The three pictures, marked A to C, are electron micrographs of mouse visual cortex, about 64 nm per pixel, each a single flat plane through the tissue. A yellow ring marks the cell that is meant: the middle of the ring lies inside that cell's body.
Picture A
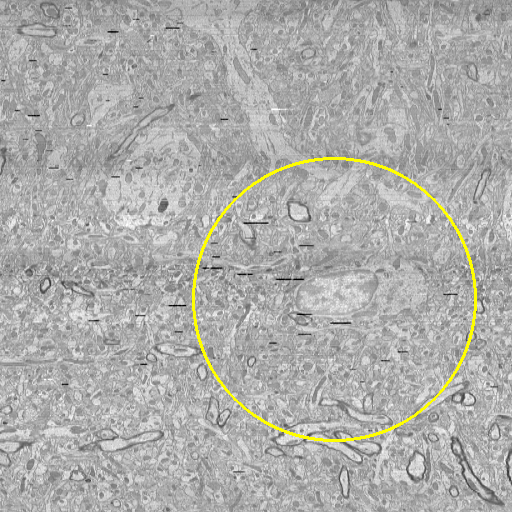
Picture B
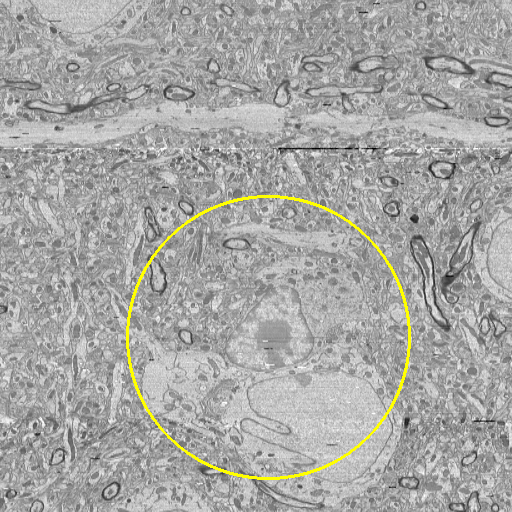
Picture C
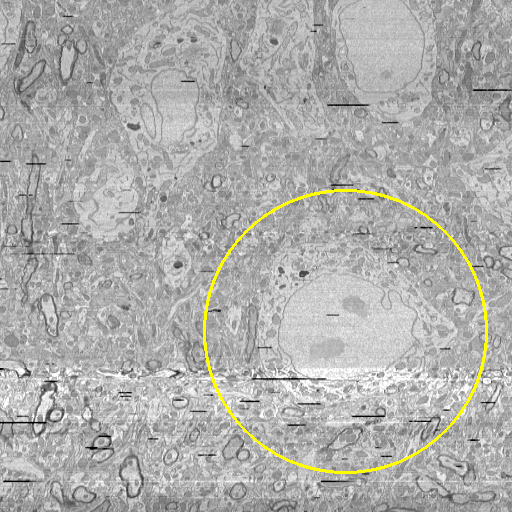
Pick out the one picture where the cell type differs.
Unlike the rest, which show oligodendrocytes, picture C shows an inhibitory neuron.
